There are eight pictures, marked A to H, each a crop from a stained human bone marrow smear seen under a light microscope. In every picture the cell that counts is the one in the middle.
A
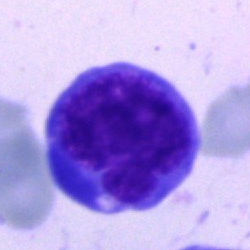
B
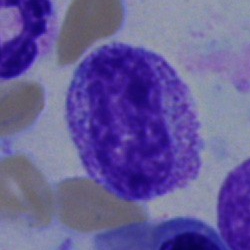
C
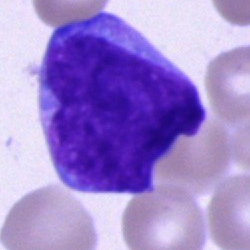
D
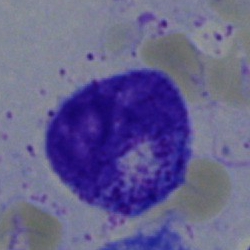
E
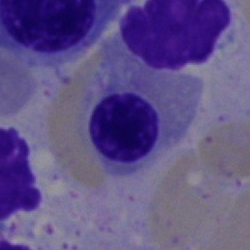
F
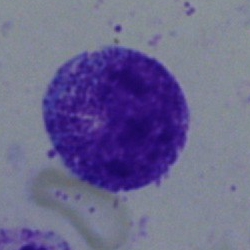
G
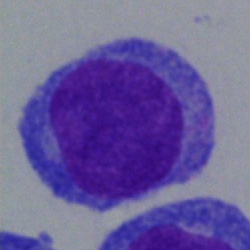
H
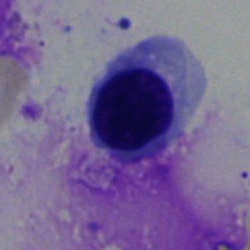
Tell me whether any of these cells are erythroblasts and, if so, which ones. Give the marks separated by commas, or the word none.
E, H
